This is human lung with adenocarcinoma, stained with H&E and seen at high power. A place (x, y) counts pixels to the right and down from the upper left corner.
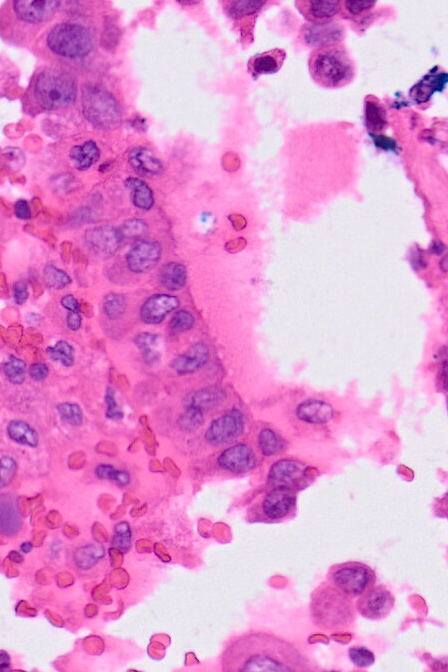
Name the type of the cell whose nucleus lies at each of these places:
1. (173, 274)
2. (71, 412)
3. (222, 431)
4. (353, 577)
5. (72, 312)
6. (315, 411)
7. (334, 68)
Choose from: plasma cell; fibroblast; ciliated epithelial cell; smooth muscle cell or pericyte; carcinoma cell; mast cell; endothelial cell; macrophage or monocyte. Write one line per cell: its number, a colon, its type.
1: carcinoma cell
2: macrophage or monocyte
3: carcinoma cell
4: carcinoma cell
5: macrophage or monocyte
6: macrophage or monocyte
7: carcinoma cell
